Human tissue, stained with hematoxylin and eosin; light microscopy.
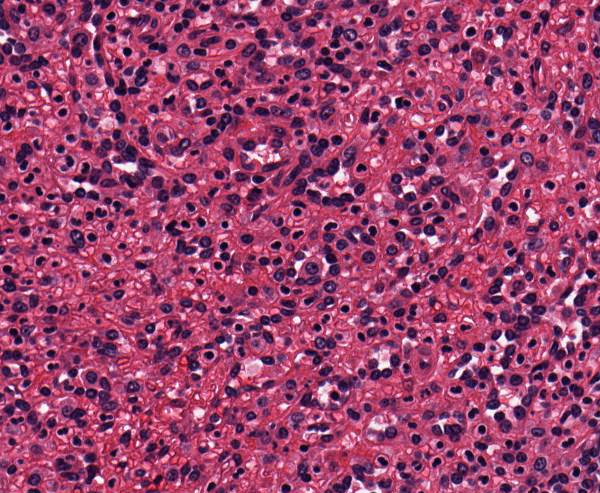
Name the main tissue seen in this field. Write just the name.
red pulp of the spleen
